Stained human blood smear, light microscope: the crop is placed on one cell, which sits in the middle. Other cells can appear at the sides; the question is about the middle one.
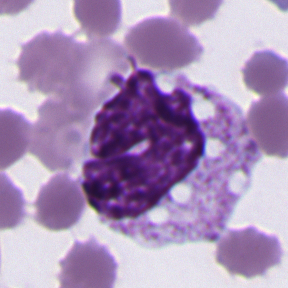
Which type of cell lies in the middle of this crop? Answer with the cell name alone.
band neutrophil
